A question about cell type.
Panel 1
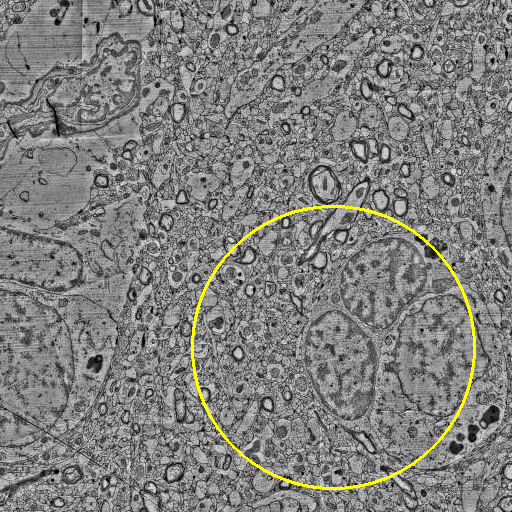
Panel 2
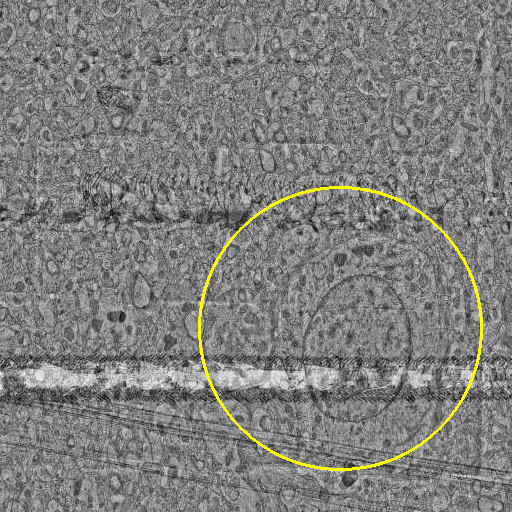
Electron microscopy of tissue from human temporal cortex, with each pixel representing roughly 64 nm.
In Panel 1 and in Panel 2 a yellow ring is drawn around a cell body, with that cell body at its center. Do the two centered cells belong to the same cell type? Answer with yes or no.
no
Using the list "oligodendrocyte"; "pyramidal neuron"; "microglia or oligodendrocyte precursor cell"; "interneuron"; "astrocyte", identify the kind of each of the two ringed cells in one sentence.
The first is an oligodendrocyte and the second is a pyramidal neuron.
